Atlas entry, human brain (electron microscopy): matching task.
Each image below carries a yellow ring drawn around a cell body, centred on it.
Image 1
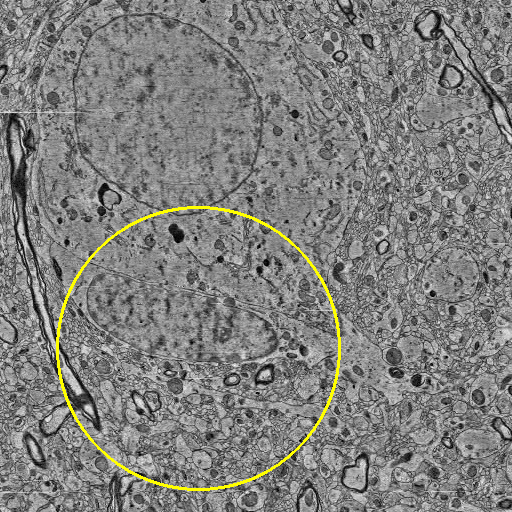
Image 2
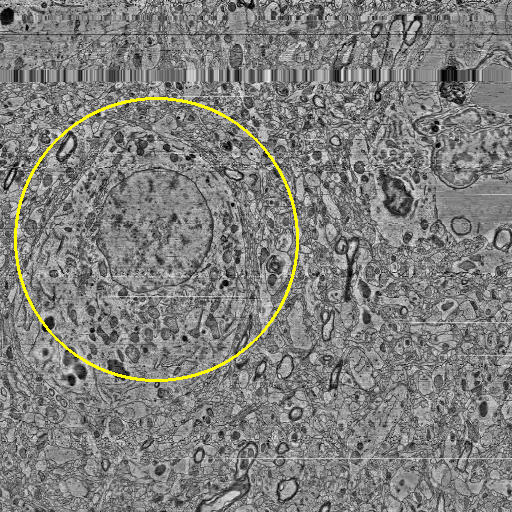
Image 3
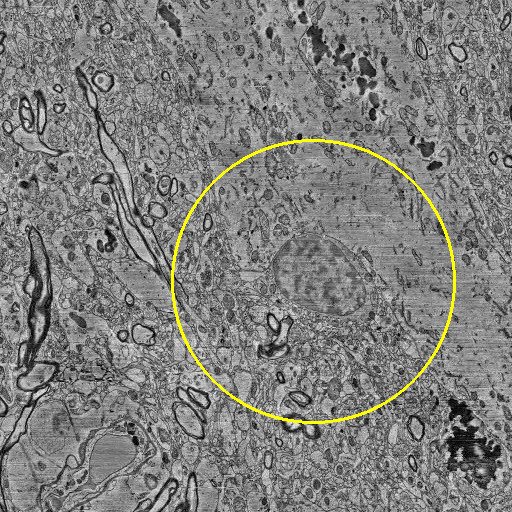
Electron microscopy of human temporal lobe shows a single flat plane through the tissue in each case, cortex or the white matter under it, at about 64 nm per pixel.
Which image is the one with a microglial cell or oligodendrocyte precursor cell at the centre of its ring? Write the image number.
1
